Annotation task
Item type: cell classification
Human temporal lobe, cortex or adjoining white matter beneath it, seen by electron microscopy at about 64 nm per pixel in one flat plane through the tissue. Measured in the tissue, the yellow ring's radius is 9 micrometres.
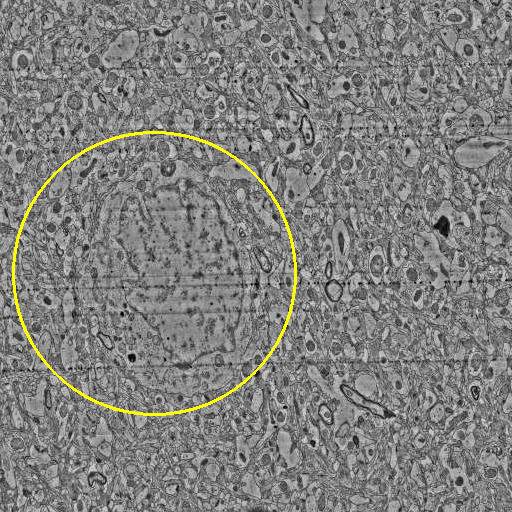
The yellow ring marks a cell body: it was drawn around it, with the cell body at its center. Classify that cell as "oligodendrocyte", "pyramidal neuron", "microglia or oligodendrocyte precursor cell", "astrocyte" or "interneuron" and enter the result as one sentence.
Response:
The ring's center falls on an interneuron.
